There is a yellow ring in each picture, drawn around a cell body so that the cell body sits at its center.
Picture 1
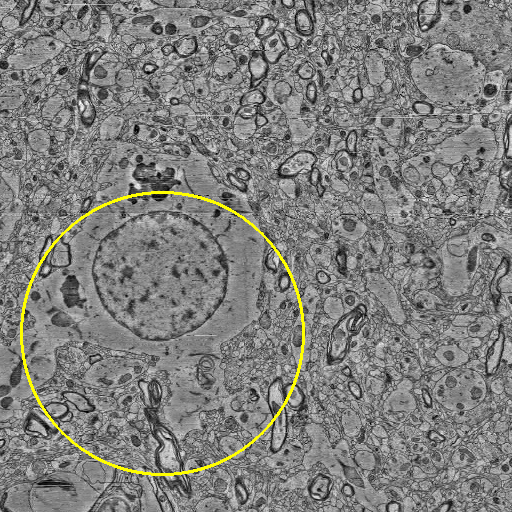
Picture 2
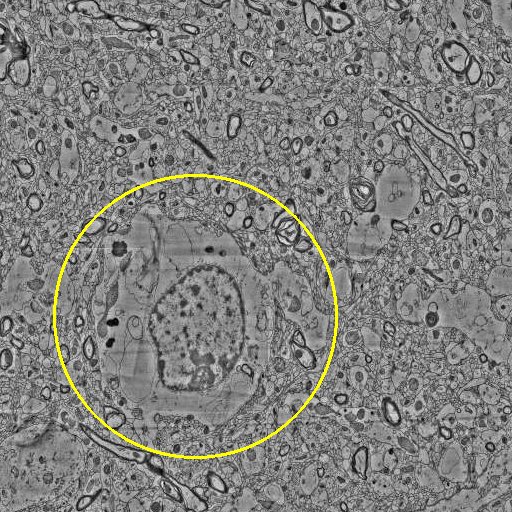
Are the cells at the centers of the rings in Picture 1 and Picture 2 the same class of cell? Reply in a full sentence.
Yes, the two cells are the same class of cell.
